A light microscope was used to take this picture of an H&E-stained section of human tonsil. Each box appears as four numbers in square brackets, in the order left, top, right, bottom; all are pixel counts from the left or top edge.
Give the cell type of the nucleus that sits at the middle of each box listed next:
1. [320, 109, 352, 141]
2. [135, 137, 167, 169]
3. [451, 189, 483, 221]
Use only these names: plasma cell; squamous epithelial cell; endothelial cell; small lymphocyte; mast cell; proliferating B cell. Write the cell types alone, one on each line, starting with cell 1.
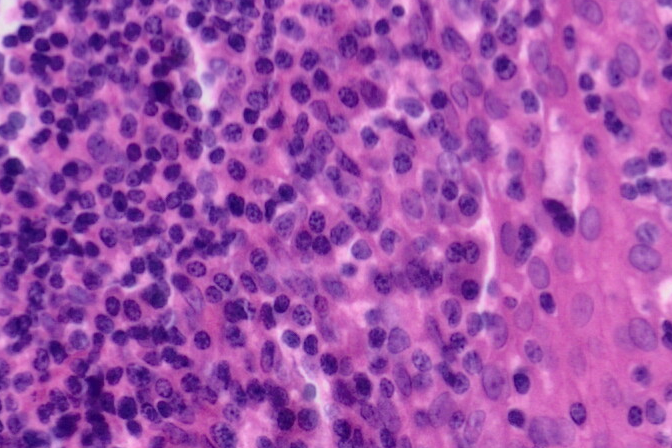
plasma cell
small lymphocyte
plasma cell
